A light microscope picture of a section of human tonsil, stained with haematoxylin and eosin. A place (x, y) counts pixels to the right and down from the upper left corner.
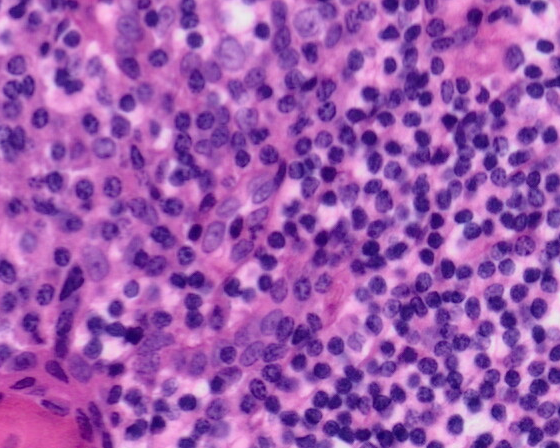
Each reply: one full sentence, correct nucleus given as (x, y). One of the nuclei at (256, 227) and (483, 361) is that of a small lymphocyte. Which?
The nucleus that belongs to a small lymphocyte sits at (483, 361).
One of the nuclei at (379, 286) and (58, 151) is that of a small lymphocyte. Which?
Among the two, the nucleus at (379, 286) is the nucleus of a small lymphocyte.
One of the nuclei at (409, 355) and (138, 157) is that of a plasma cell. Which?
Out of the two, it is the nucleus at (138, 157) that belongs to a plasma cell.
